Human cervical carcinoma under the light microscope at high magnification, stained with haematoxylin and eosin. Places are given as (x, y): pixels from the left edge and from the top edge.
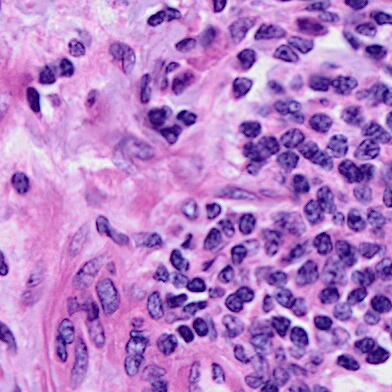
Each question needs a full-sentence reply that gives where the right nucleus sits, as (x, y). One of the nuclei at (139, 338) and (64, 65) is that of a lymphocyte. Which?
The nucleus at (64, 65) is housed in a lymphocyte.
